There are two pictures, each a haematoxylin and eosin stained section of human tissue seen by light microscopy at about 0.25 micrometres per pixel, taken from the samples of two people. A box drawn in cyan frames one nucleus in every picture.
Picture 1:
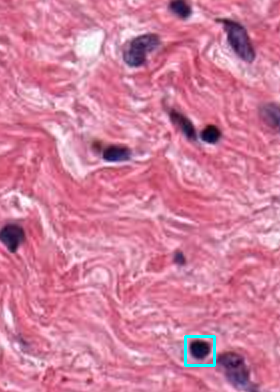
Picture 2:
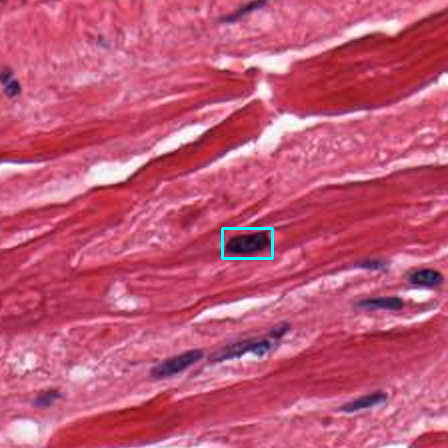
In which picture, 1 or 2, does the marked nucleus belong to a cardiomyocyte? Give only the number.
2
